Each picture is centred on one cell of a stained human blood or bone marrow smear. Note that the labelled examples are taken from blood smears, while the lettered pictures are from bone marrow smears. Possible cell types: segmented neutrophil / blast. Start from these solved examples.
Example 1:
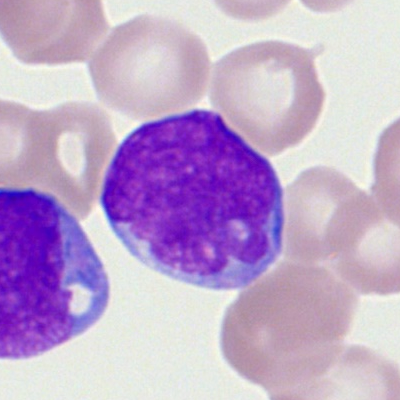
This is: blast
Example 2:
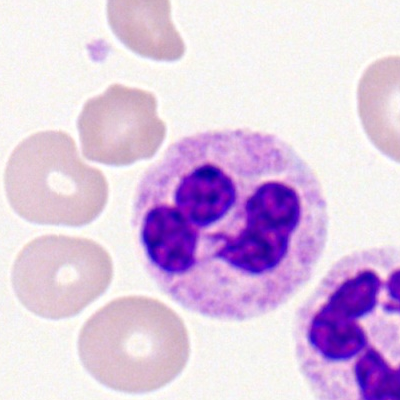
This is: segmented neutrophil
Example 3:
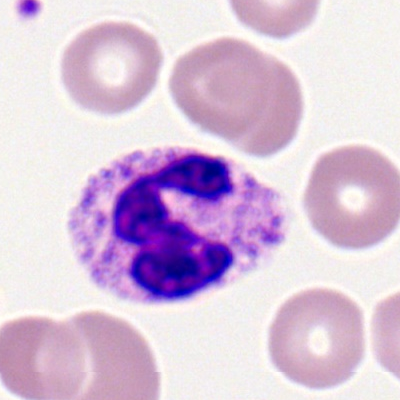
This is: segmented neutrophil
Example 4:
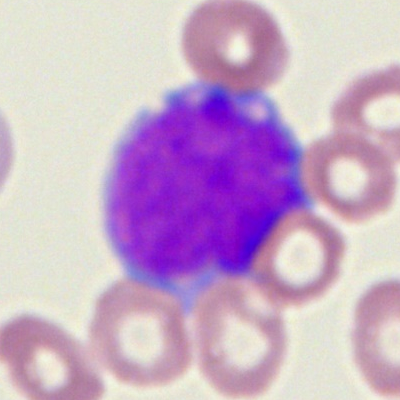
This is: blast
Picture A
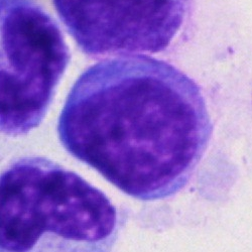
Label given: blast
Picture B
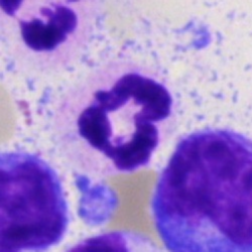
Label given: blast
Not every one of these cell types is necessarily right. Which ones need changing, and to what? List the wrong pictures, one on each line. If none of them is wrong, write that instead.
Wrong: B (blast); correct: segmented neutrophil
